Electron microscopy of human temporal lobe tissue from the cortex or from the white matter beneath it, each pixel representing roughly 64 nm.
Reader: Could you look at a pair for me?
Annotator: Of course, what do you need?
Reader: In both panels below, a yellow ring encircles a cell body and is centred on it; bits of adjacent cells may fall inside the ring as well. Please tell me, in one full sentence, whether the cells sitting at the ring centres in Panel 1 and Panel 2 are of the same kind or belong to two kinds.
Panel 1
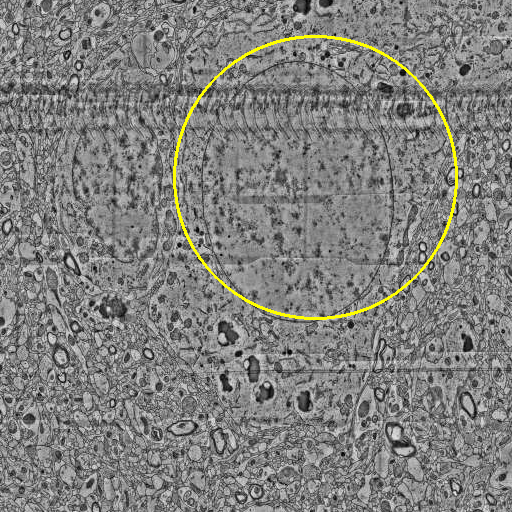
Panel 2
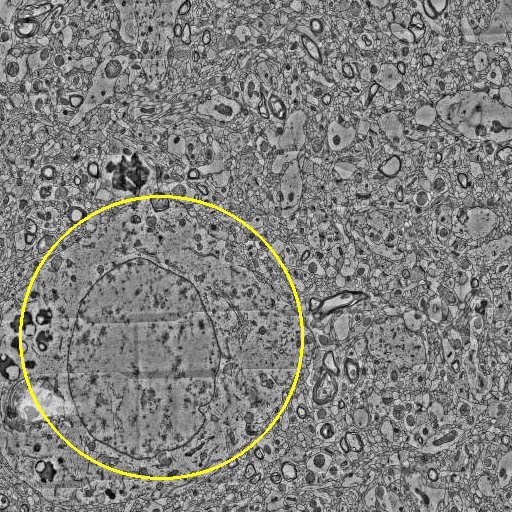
The cell at the ring's centre in Panel 1 and the one in Panel 2 are of the same kind.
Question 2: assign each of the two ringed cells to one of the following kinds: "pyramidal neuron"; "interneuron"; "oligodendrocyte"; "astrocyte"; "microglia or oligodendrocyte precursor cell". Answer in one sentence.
In each of the two pictures, the ringed cell is a pyramidal neuron.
